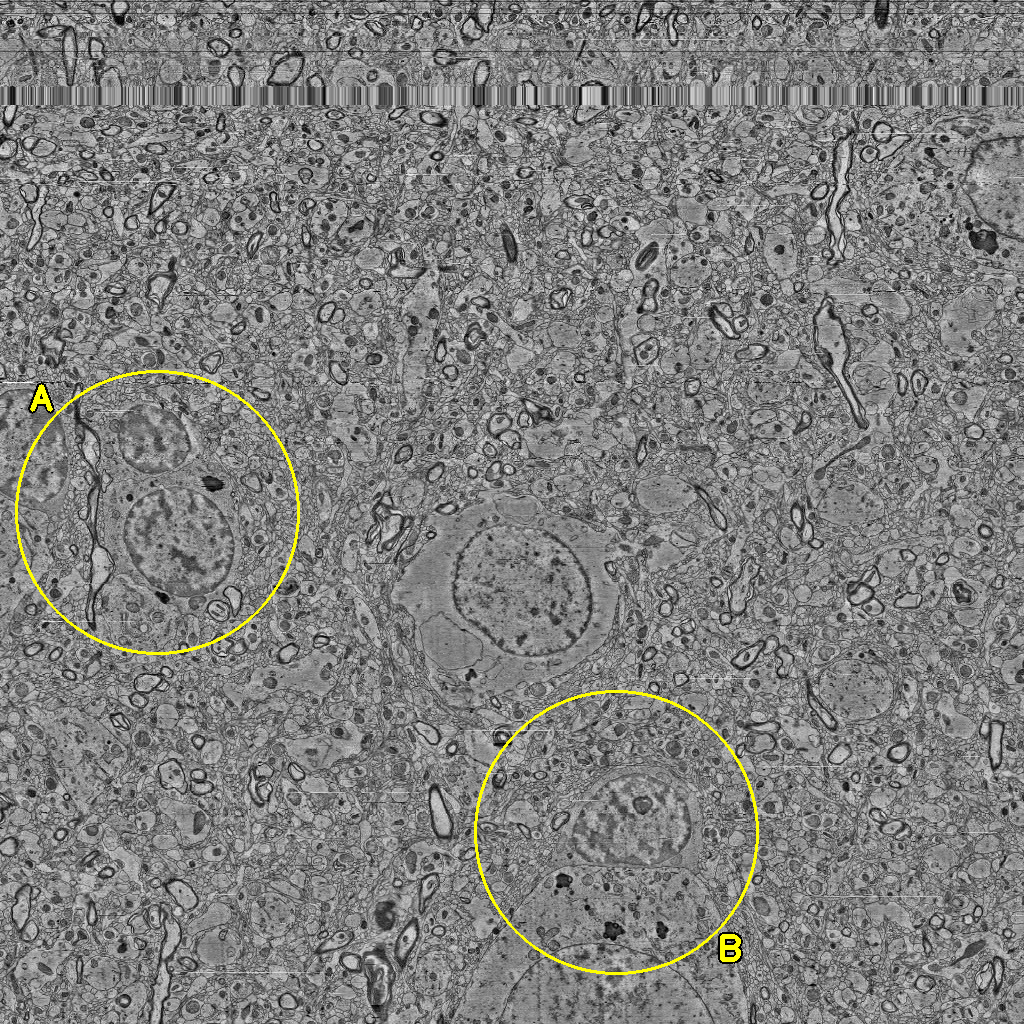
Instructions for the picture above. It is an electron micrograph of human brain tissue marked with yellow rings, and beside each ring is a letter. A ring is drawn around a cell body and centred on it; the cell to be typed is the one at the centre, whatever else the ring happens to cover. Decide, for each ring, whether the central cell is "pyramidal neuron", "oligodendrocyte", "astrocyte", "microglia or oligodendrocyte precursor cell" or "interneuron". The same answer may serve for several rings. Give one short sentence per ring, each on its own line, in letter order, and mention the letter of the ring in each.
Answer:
Ring A is drawn around an oligodendrocyte.
Ring B is drawn around an oligodendrocyte.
